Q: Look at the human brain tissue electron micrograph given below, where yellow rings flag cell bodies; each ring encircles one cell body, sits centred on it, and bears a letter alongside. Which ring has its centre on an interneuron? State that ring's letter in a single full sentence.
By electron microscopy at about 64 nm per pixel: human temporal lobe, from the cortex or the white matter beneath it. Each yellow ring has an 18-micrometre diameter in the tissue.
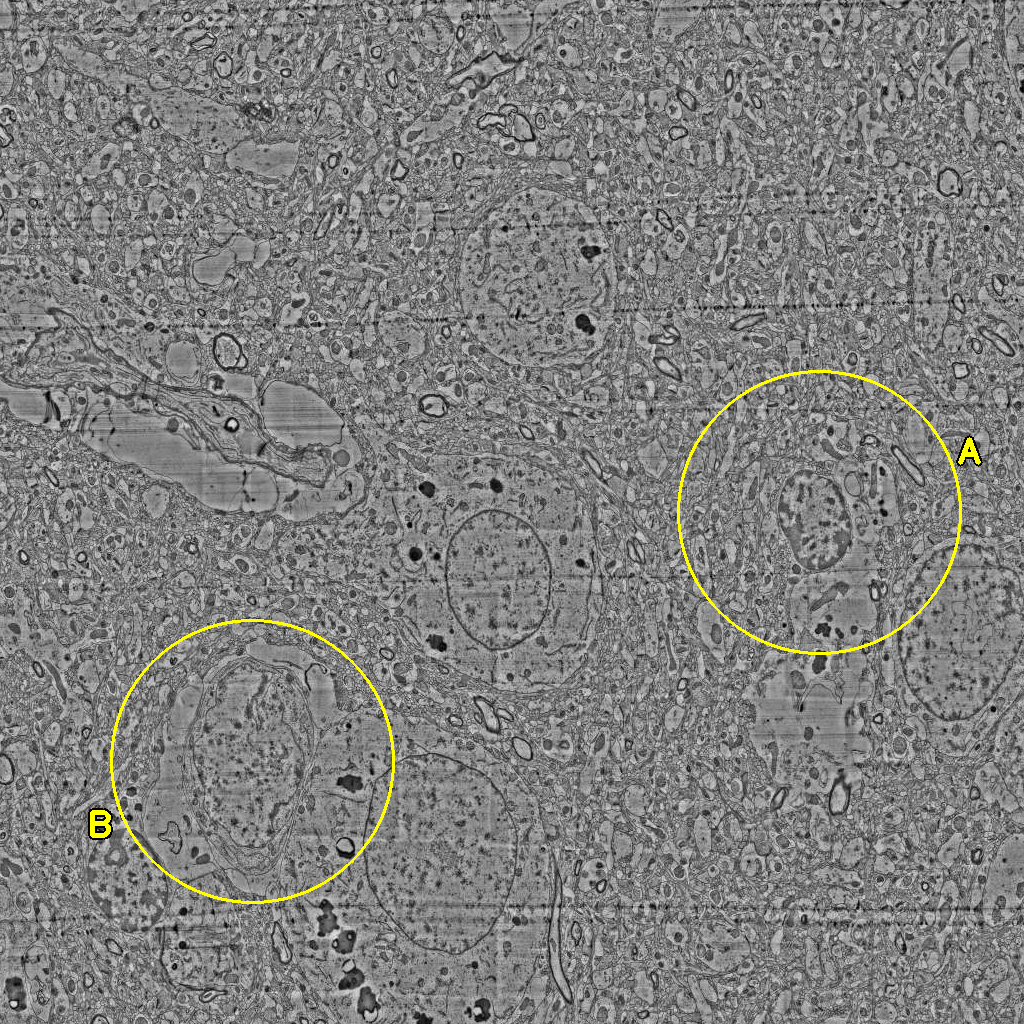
In the picture, the cell of that kind sits at the centre of ring B.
